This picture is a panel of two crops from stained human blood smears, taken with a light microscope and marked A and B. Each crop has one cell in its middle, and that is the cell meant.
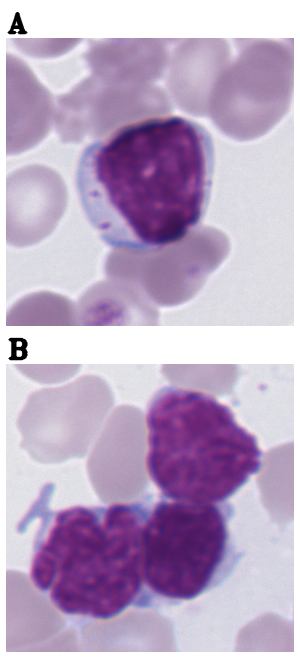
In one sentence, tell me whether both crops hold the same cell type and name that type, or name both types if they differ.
No, just to correct that: crop A shows a large granular lymphocyte, crop B shows a blast.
